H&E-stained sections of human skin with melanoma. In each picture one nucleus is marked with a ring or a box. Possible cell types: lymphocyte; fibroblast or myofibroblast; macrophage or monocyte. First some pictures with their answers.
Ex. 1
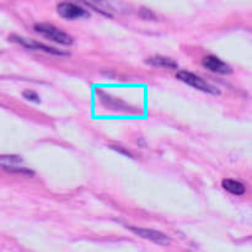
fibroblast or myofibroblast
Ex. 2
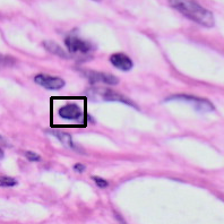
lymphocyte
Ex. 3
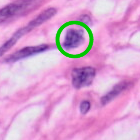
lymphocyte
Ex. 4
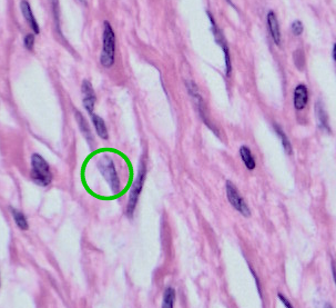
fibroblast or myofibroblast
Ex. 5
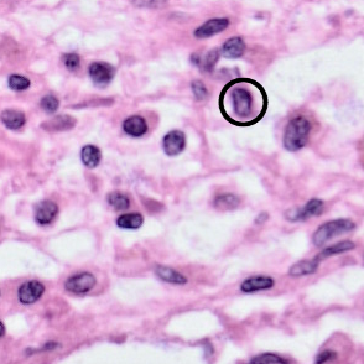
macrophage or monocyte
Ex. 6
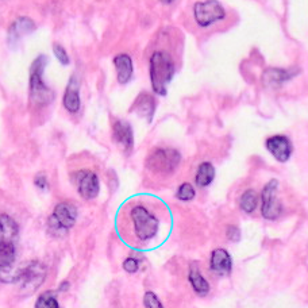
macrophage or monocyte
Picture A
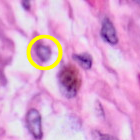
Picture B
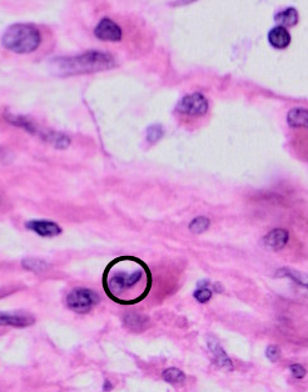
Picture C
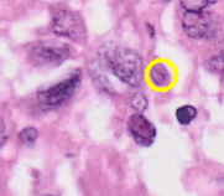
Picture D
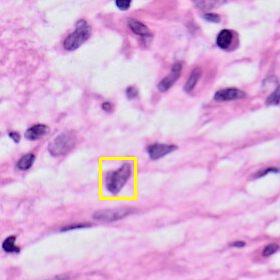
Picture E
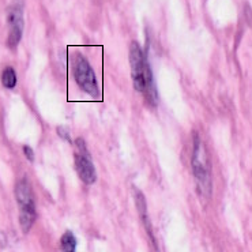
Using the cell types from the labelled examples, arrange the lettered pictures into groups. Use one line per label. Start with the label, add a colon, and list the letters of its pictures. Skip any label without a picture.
macrophage or monocyte: A, B, C, D, E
